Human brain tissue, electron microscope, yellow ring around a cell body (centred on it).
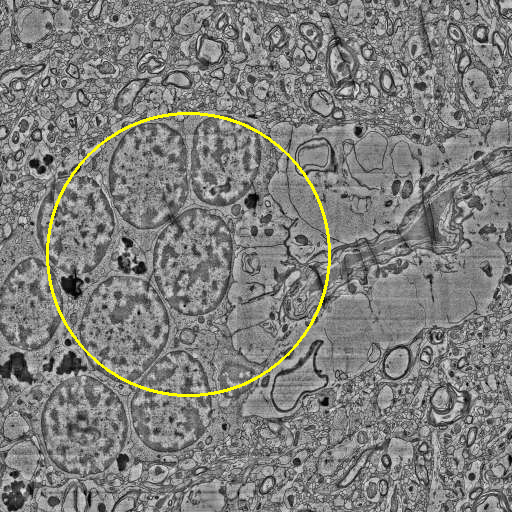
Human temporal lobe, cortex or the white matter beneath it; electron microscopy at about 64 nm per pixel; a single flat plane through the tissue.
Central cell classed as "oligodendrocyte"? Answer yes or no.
yes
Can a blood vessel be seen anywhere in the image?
Yes, the image shows a blood vessel.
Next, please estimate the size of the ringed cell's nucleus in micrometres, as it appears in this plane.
The ringed cell's nucleus is about 7 micrometres long and 5 micrometres wide in this plane.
